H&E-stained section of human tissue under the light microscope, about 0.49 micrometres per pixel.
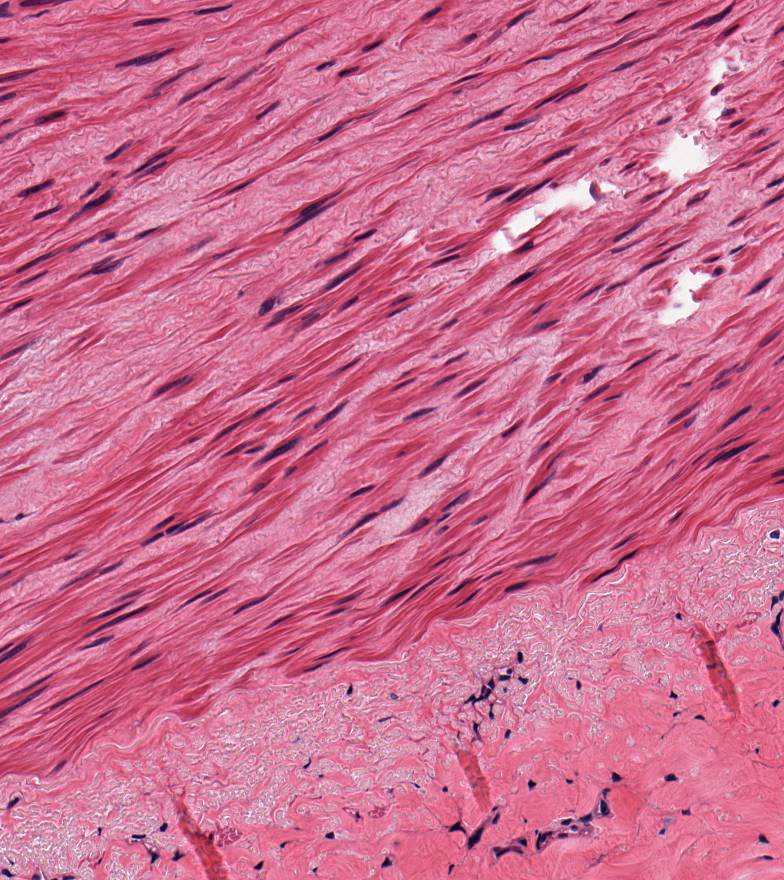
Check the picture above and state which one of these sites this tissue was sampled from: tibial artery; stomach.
tibial artery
